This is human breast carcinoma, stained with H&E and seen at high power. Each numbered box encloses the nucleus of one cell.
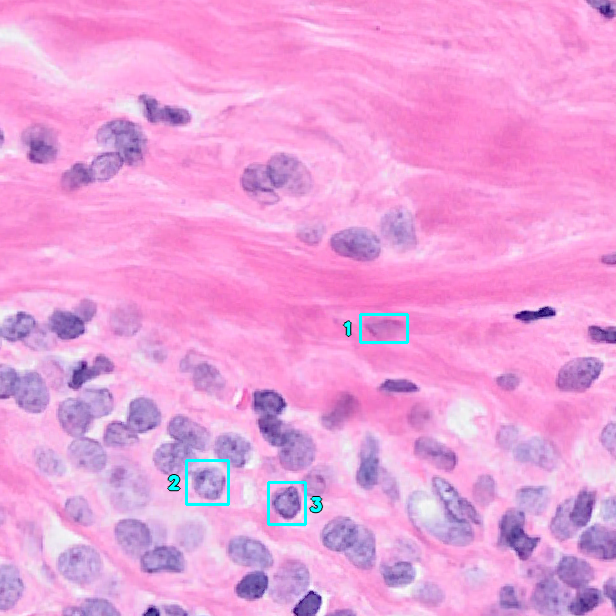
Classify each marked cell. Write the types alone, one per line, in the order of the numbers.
fibroblast
carcinoma cell
carcinoma cell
